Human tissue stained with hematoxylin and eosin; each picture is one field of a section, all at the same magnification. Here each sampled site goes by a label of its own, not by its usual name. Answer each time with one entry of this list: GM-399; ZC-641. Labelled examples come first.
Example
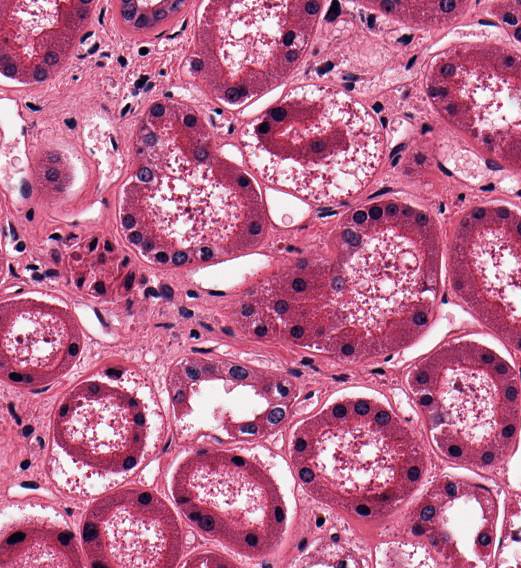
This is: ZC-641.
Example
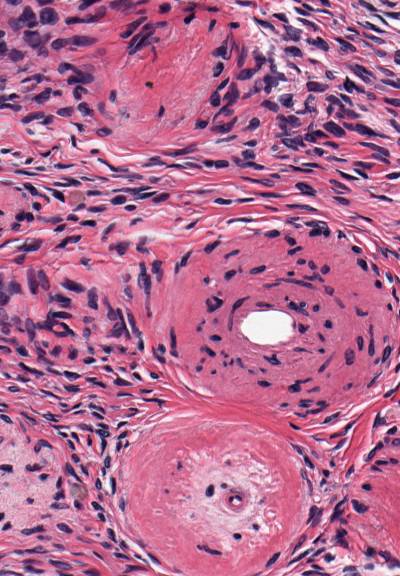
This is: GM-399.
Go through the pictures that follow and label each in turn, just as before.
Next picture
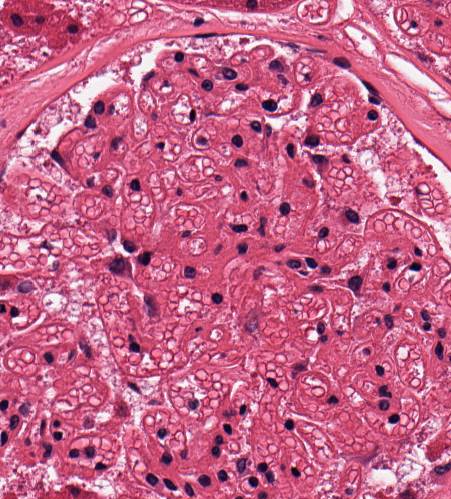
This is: ZC-641.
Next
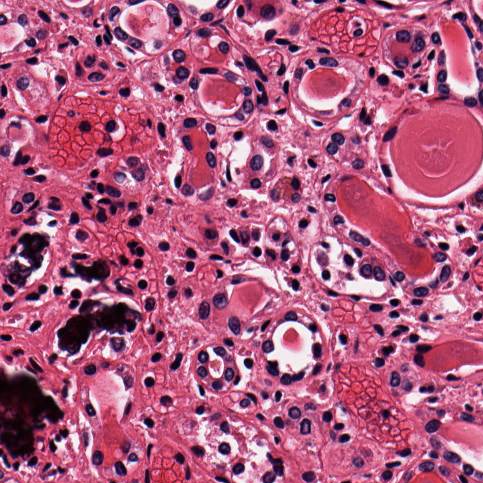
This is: ZC-641.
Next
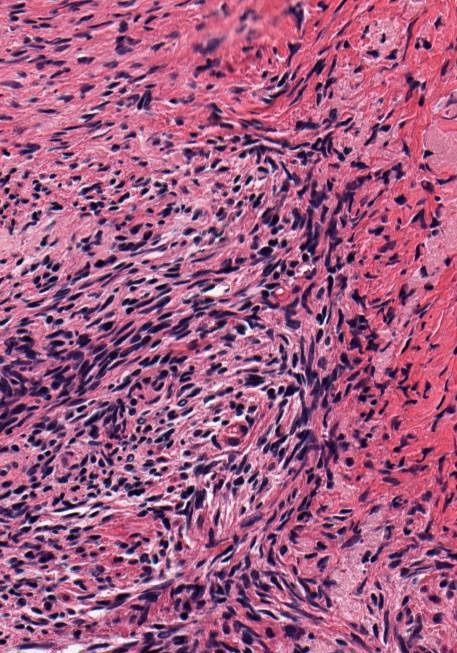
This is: GM-399.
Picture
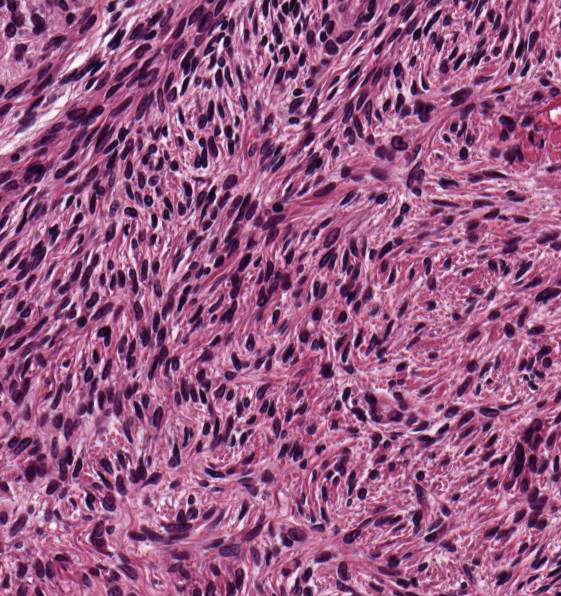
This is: GM-399.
